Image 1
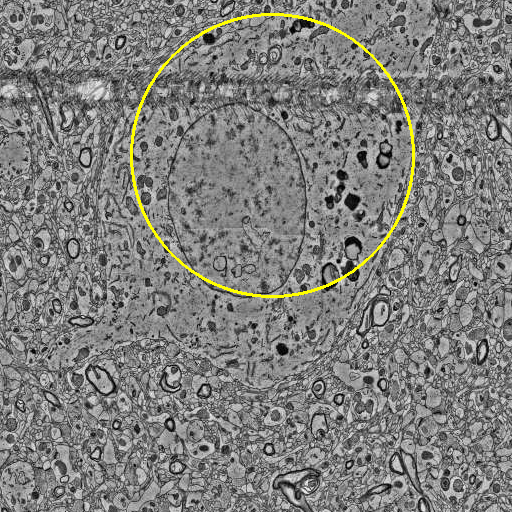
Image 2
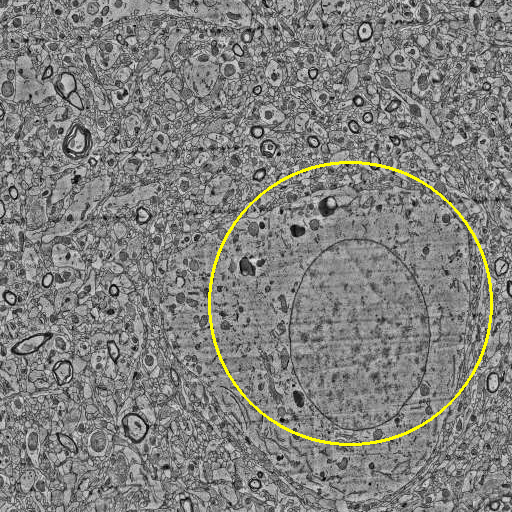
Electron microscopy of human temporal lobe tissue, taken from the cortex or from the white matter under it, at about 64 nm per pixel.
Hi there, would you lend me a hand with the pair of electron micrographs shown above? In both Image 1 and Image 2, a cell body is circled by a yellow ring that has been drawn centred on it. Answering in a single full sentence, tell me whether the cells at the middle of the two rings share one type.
Yes, the ringed cells in Image 1 and Image 2 share one type.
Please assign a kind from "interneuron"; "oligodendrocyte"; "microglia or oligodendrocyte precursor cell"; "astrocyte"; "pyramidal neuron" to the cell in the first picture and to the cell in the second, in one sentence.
Each of the two rings surrounds a pyramidal neuron.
